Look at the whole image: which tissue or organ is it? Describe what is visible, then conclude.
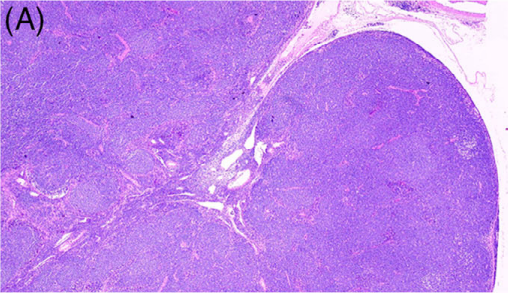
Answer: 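A thin fibrous capsule encloses rounded lobes of densely packed small blue cells. Fibrous septa with vessels run between the lobes. Faint nodular pattern within the dense cell sheets. So: lymph node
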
